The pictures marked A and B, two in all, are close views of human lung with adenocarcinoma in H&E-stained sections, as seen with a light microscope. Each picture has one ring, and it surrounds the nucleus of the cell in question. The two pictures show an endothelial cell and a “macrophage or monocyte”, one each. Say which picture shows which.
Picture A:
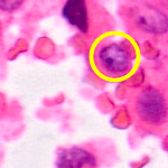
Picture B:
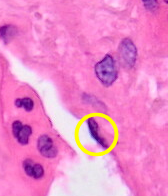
A: macrophage or monocyte
B: endothelial cell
